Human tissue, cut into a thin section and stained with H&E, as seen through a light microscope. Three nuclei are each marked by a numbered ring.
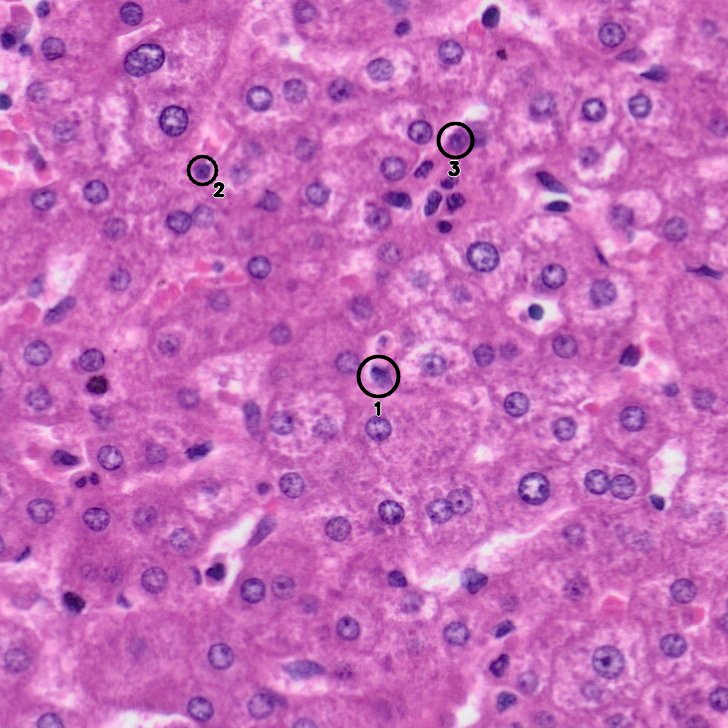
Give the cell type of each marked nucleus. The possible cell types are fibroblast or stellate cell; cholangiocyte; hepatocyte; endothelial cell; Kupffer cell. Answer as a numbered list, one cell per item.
1. endothelial cell
2. fibroblast or stellate cell
3. Kupffer cell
